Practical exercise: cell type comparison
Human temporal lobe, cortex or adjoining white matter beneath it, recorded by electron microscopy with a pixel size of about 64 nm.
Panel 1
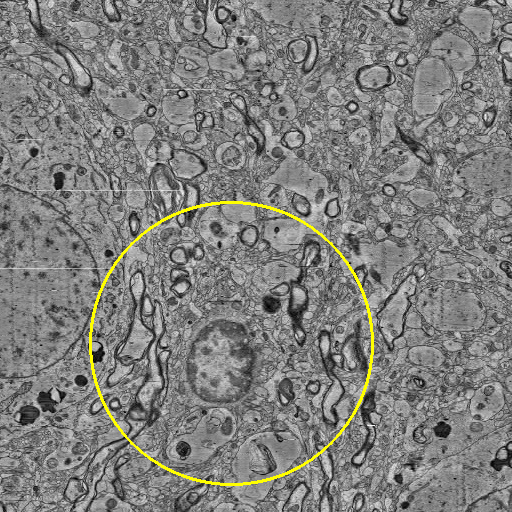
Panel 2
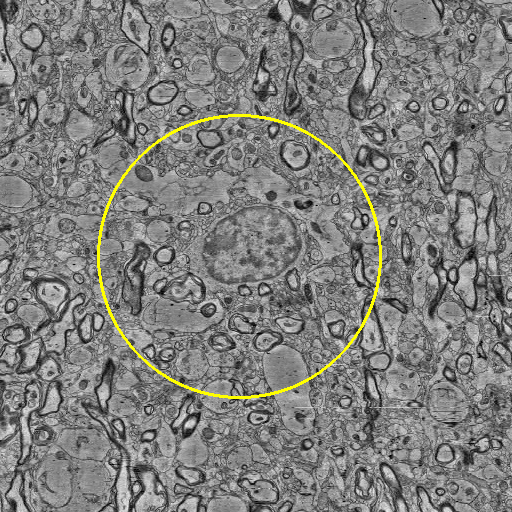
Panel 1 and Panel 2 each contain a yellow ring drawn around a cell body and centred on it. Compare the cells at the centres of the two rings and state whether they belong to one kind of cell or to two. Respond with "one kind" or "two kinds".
one kind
